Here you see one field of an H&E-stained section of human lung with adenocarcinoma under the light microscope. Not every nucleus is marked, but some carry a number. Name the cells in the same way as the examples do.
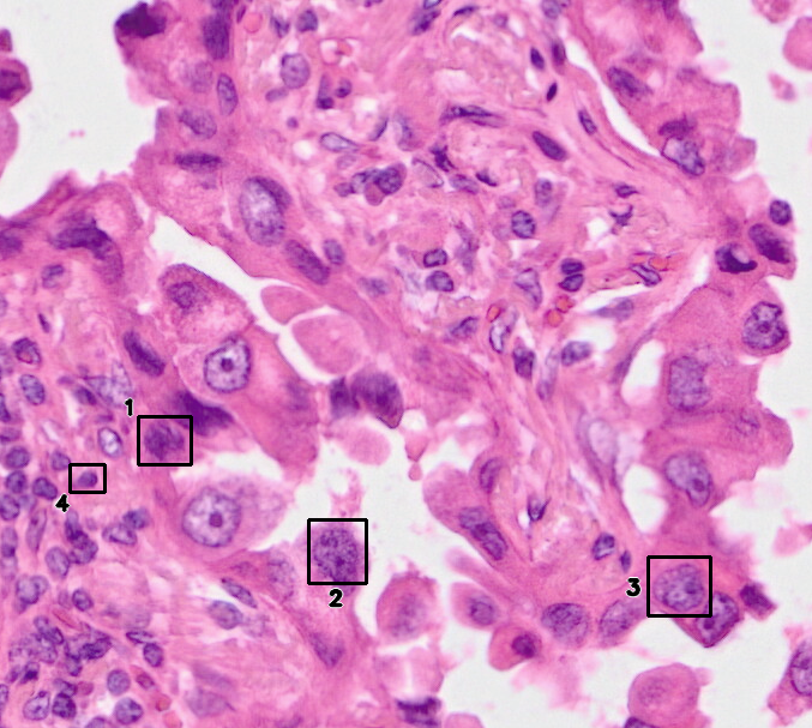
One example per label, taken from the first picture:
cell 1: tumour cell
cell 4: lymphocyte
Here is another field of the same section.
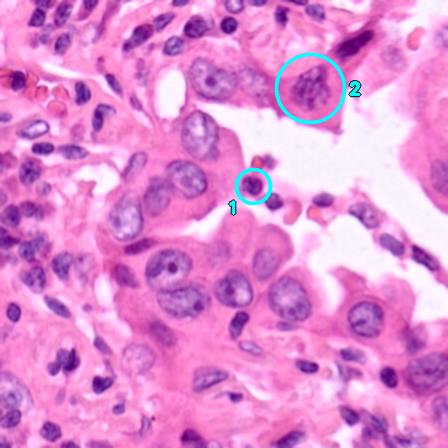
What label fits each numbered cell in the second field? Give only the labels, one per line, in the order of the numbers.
lymphocyte
tumour cell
